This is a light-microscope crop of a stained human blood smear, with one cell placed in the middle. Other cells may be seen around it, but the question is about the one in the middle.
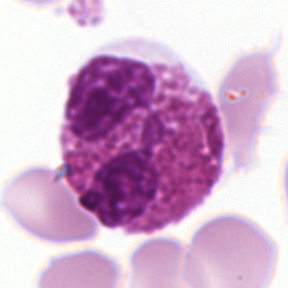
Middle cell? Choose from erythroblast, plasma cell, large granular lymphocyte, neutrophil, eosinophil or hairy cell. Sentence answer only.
Centrally within this crop lies an eosinophil.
